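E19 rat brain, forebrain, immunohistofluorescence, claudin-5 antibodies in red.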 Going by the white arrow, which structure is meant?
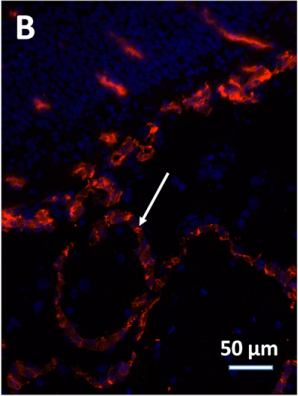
Meningeal vessels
